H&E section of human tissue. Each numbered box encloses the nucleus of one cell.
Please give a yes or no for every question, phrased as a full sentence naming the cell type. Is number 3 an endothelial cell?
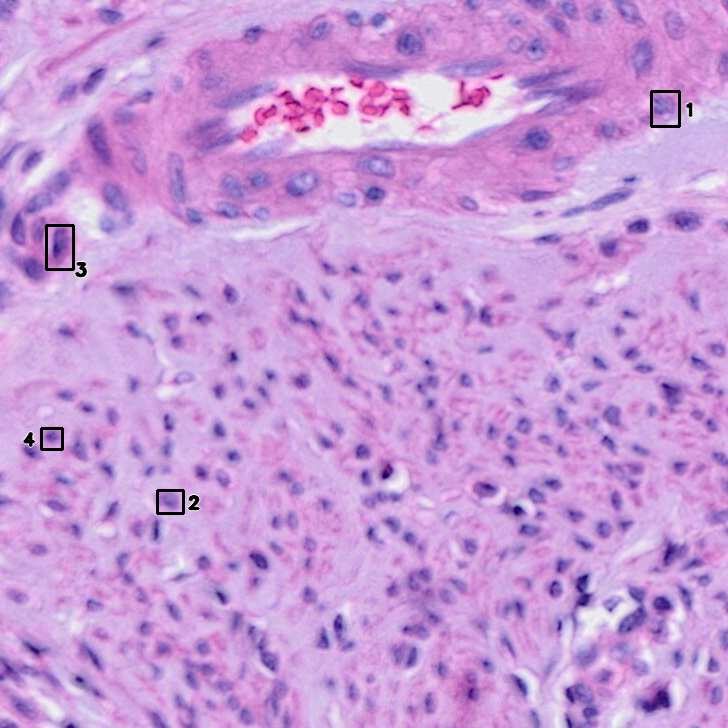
Yes, among the marked cells, the one with number 3 is an endothelial cell.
